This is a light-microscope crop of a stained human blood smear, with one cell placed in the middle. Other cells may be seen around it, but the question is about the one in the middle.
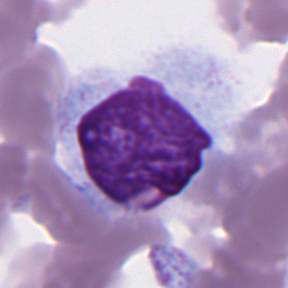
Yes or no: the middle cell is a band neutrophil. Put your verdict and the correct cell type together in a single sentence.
No, the central cell is not a band neutrophil; it is a monocyte.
